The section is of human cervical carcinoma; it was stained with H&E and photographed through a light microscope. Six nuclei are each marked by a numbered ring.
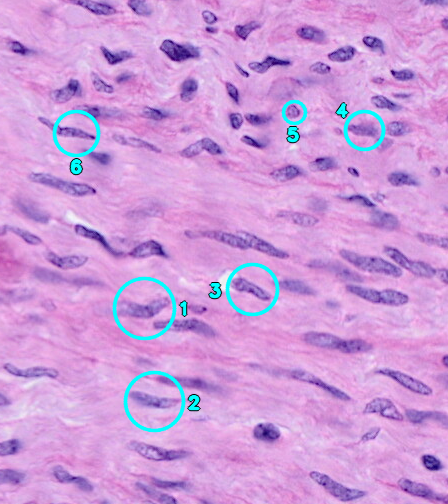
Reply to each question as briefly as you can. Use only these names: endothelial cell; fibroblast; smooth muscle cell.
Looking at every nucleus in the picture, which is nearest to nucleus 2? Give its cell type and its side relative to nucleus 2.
a smooth muscle cell; above and to the right of nucleus 2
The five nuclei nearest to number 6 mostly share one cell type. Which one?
smooth muscle cell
